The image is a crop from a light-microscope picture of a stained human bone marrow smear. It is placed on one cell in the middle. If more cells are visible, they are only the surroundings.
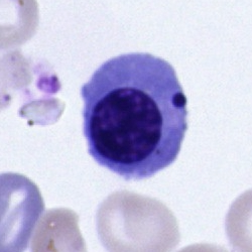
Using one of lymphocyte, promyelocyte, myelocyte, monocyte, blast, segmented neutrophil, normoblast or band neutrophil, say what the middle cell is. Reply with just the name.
normoblast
